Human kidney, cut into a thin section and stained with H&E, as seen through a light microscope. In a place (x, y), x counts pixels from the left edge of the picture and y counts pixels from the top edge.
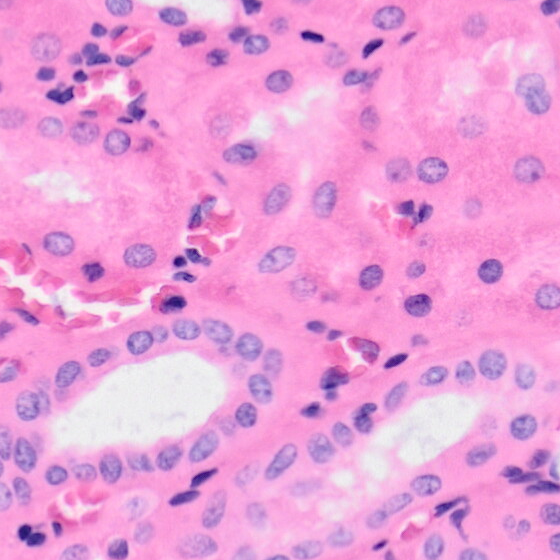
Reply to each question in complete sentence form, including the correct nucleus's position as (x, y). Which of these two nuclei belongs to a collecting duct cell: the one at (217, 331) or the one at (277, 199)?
The member of the pair belonging to a collecting duct cell is the nucleus at (217, 331).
